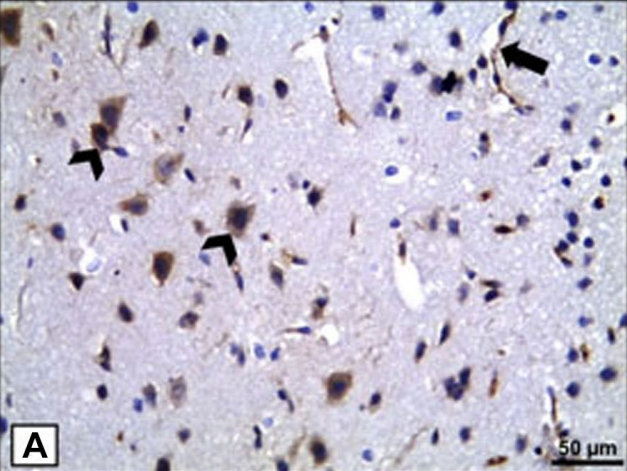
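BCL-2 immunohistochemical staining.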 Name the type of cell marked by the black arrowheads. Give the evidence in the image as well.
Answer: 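The marked cells have triangular cell bodies with brown-stained cytoplasm. The marked cells are larger than the surrounding small blue nuclei.
Pyramidal cells.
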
